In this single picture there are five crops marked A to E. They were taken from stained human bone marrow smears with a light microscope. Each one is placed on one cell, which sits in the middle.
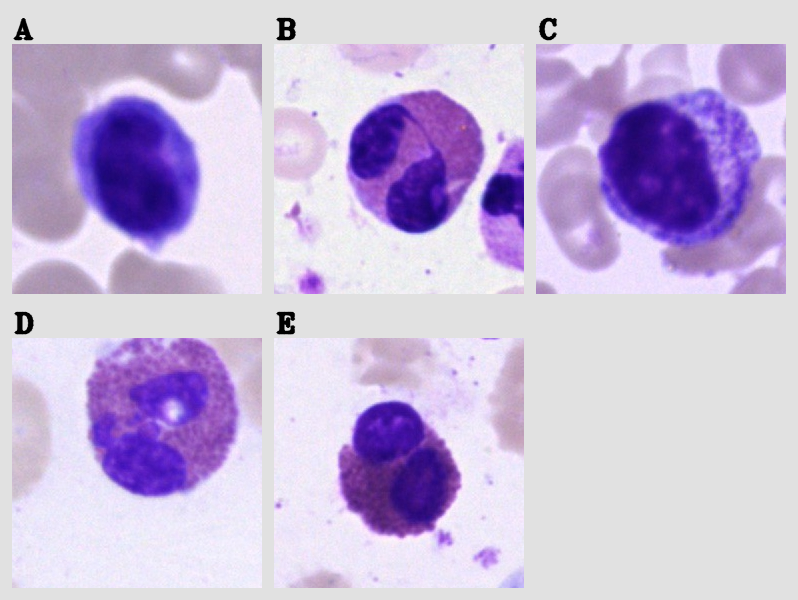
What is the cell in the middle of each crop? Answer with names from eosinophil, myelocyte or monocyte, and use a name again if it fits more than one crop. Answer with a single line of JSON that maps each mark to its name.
{"A": "monocyte", "B": "eosinophil", "C": "myelocyte", "D": "eosinophil", "E": "eosinophil"}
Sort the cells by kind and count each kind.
eosinophil: 3
monocyte: 1
myelocyte: 1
